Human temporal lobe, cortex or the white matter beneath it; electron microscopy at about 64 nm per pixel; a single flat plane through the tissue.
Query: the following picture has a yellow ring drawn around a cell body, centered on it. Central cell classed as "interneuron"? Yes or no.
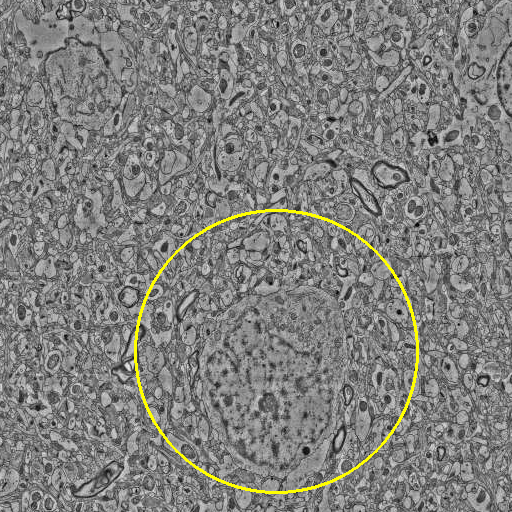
yes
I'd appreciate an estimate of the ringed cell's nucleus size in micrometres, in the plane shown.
In this plane, about 10 micrometres in length and 8 in width.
